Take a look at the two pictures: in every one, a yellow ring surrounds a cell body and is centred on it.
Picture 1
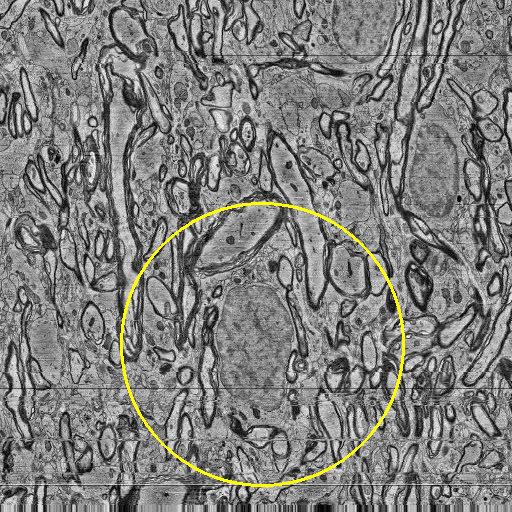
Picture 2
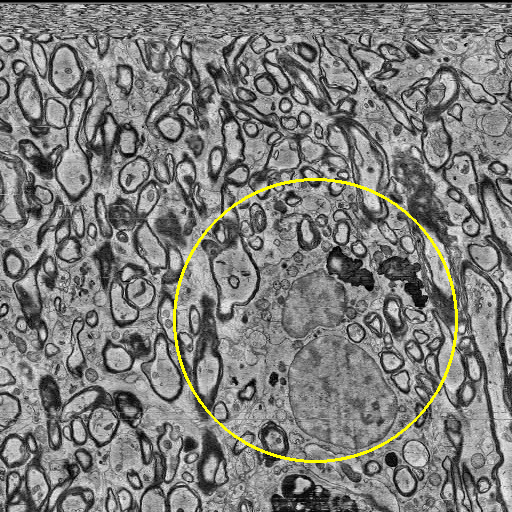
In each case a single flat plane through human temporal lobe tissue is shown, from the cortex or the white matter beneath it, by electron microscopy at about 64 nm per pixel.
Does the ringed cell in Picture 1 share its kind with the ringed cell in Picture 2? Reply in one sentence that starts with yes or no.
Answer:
Yes, the two centred cells, one per picture, are of one kind.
